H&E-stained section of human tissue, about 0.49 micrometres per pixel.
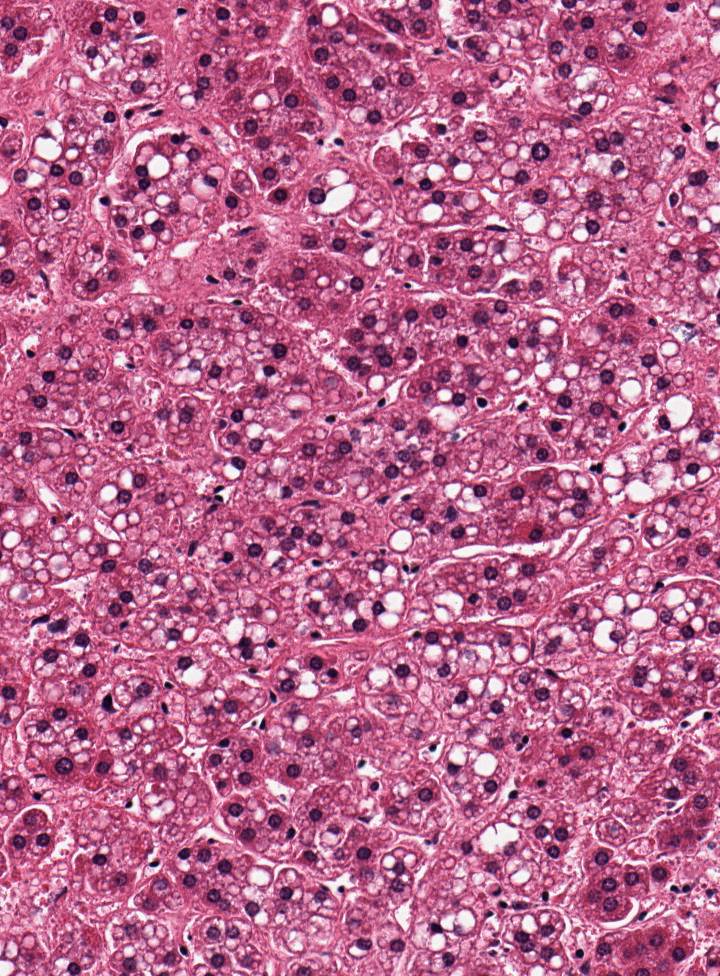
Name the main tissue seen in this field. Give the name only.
zona fasciculata of the adrenal gland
